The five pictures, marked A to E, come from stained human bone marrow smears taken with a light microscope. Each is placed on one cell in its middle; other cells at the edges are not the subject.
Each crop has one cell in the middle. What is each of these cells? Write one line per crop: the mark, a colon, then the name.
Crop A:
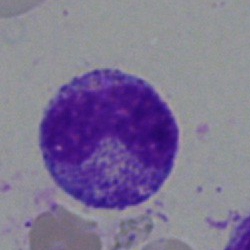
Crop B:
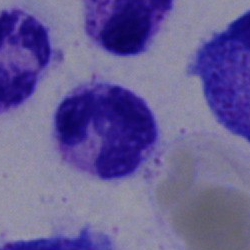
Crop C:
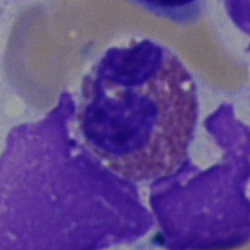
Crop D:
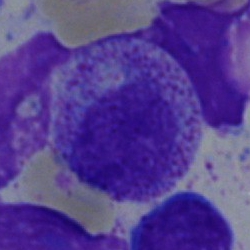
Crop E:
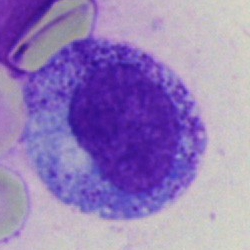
A: band neutrophil
B: segmented neutrophil
C: eosinophil
D: myelocyte
E: myelocyte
